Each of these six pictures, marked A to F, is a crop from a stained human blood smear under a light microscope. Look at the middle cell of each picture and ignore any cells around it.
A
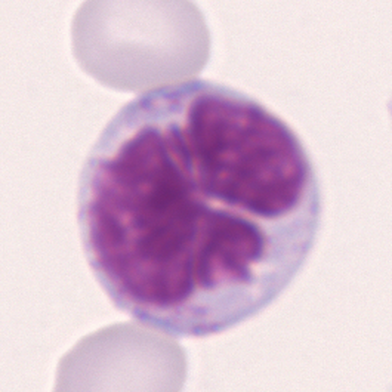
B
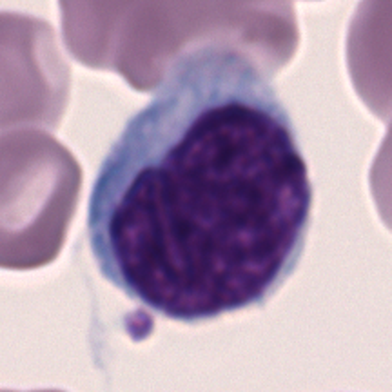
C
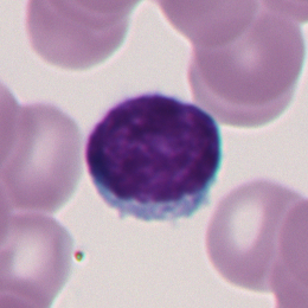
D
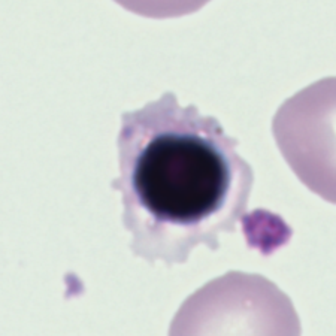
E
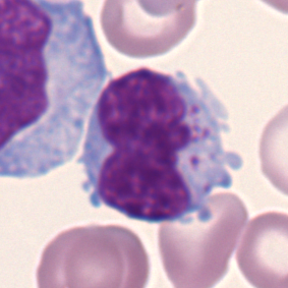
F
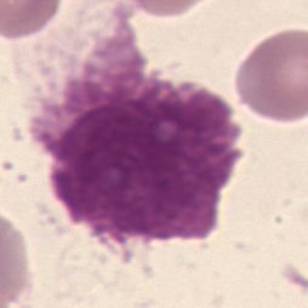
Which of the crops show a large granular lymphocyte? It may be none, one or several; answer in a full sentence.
The cells centred in crops A and E are large granular lymphocytes.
